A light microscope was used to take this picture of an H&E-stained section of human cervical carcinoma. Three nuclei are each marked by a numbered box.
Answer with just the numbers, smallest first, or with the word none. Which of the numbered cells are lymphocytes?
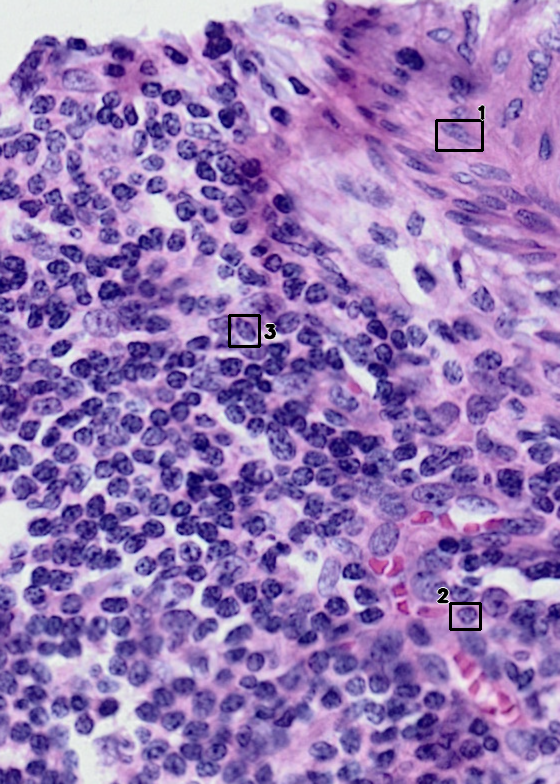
2, 3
